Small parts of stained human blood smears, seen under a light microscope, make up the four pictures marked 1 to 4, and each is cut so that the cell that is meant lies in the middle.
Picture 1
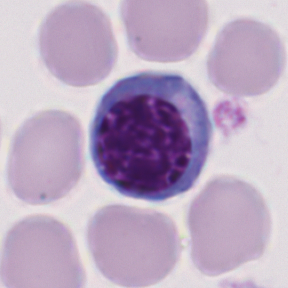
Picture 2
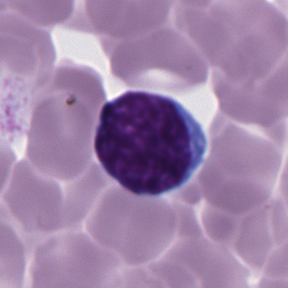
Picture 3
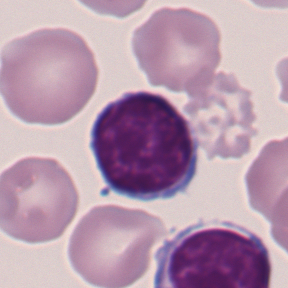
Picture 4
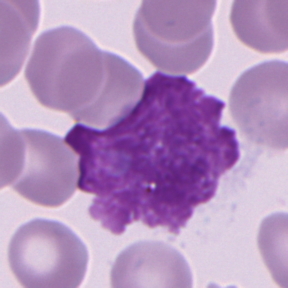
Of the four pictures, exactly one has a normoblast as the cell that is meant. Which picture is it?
1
